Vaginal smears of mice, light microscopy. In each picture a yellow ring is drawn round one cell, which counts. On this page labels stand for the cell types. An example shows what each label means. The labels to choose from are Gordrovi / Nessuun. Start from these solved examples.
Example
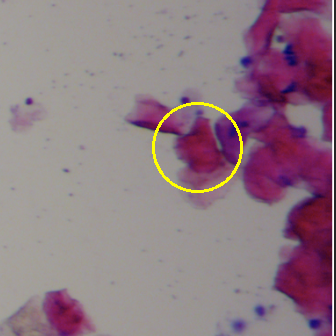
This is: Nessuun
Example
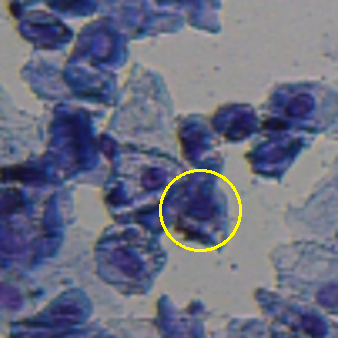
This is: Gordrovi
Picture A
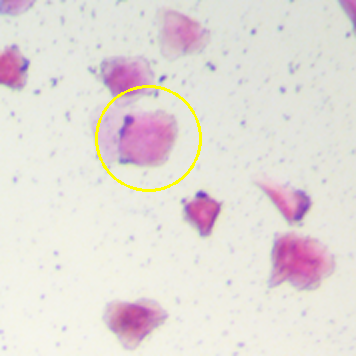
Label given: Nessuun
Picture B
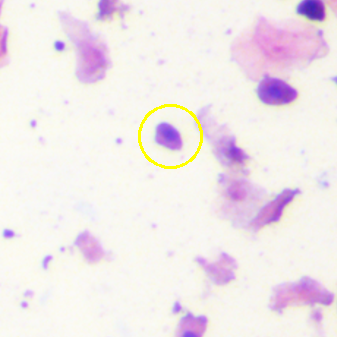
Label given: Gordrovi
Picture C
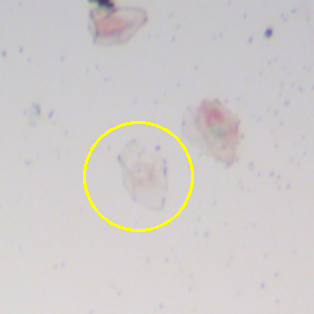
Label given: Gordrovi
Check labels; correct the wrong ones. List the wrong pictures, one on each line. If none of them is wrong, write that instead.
C: change Gordrovi to Nessuun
